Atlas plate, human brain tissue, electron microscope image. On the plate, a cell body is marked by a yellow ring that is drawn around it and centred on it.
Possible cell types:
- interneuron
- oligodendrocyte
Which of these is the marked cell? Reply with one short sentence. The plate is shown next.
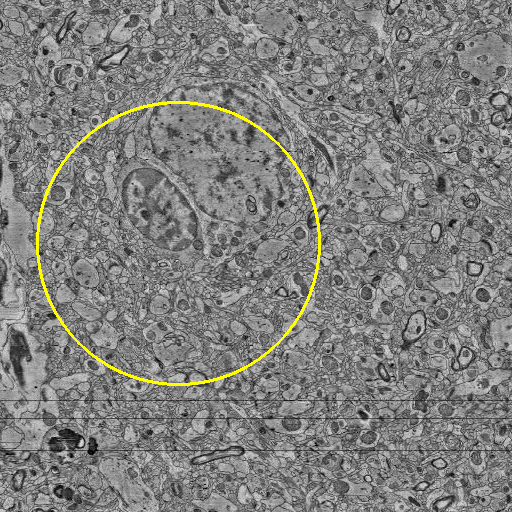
The marked cell is an oligodendrocyte.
